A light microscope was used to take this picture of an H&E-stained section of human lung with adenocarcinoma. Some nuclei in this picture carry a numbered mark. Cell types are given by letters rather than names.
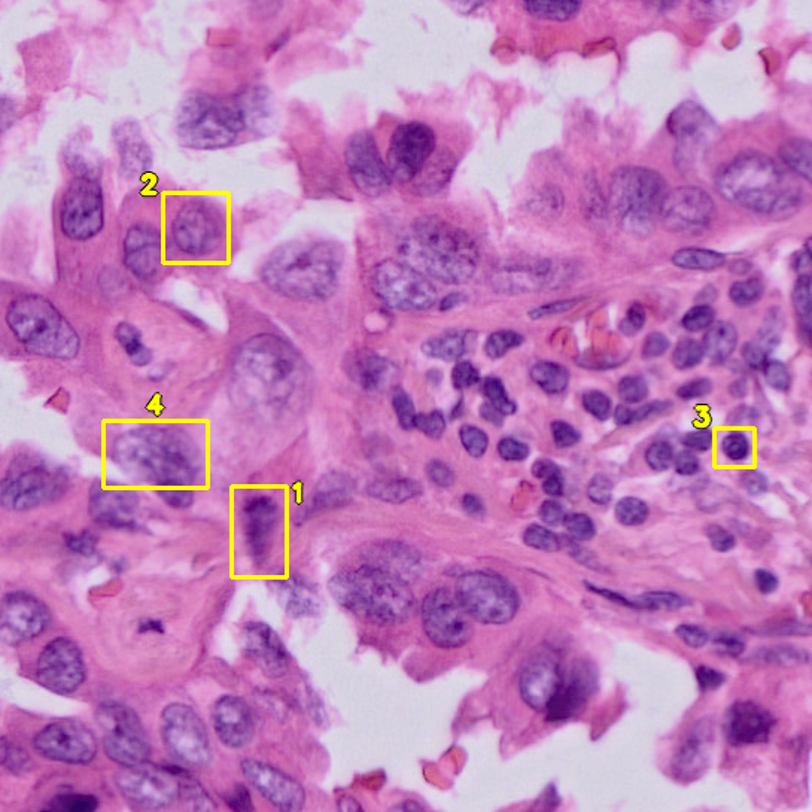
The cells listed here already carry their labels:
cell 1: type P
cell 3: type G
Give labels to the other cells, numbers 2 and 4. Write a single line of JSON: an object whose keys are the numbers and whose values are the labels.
{"2": "type P", "4": "type P"}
